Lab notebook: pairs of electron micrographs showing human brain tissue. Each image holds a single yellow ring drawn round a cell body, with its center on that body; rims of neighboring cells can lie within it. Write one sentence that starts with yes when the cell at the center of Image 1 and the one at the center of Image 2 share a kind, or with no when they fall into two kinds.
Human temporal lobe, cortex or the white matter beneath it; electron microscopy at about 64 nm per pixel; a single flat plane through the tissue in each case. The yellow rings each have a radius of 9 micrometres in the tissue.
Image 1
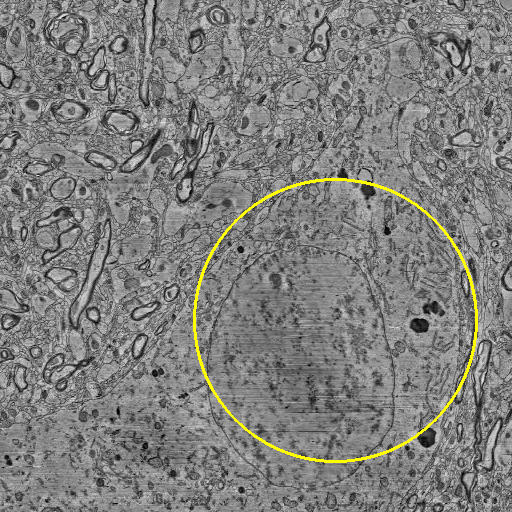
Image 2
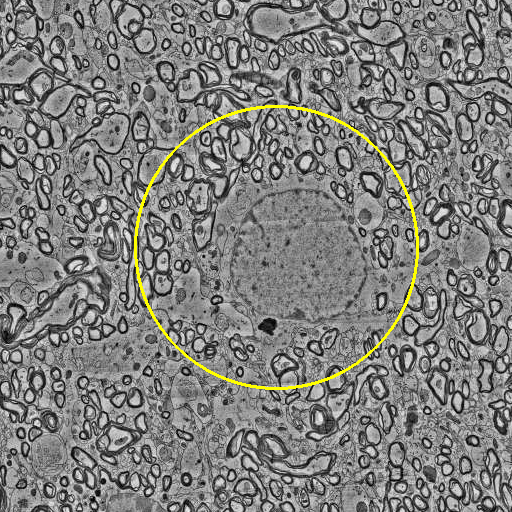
No, the centered cell in Image 1 and the centered cell in Image 2 are of two kinds.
